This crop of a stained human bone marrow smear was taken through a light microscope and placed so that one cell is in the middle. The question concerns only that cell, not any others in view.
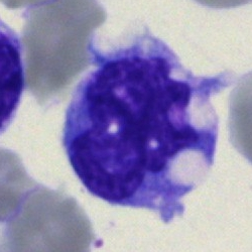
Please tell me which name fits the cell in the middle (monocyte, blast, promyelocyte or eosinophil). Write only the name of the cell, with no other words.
monocyte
